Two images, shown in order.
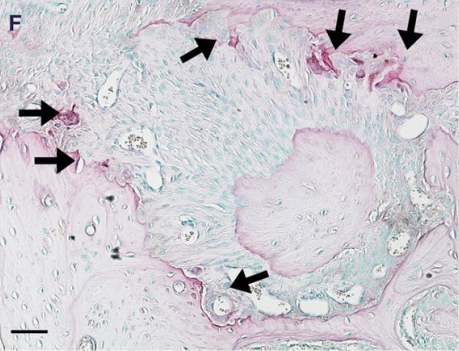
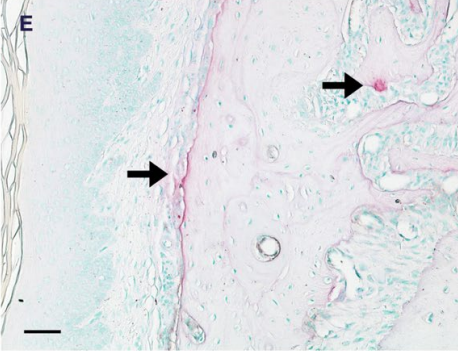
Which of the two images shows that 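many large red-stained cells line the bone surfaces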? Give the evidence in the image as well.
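First image: several large red-purple cells sit along the bone edges. Second image: only a thin pink line and one small red dot are seen on the bone.
The first image.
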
